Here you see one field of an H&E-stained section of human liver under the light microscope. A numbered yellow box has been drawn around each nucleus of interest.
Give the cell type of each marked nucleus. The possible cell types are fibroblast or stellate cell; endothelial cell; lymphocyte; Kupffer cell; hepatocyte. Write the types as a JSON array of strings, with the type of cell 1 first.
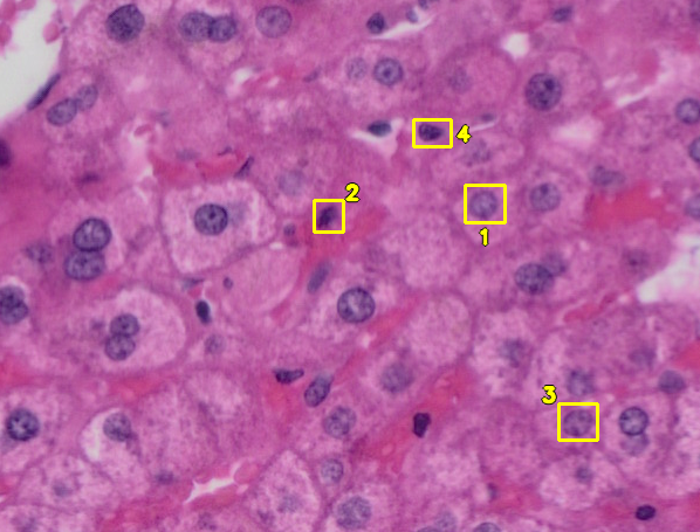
["hepatocyte", "fibroblast or stellate cell", "hepatocyte", "lymphocyte"]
